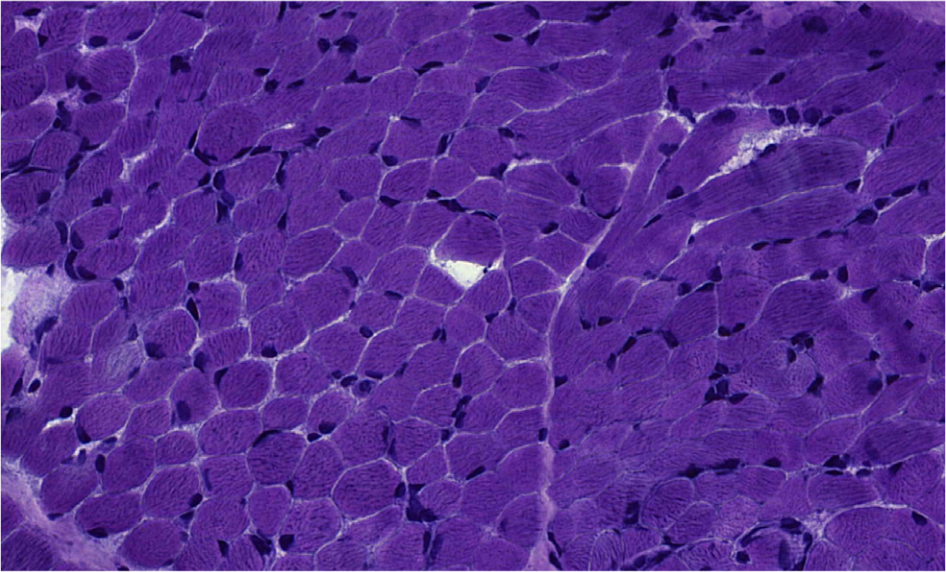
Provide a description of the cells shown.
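Skeletal muscle fibers cut in cross-section fill the field, stained purple, polygonal and fitted closely together with thin pale spaces between them. Their dark nuclei sit at the fiber edges, and the cytoplasm shows a fine speckled pattern of myofibrils. Most fibers are of similar size, though here and there a few are somewhat smaller. This is skeletal muscle with largely normal architecture.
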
